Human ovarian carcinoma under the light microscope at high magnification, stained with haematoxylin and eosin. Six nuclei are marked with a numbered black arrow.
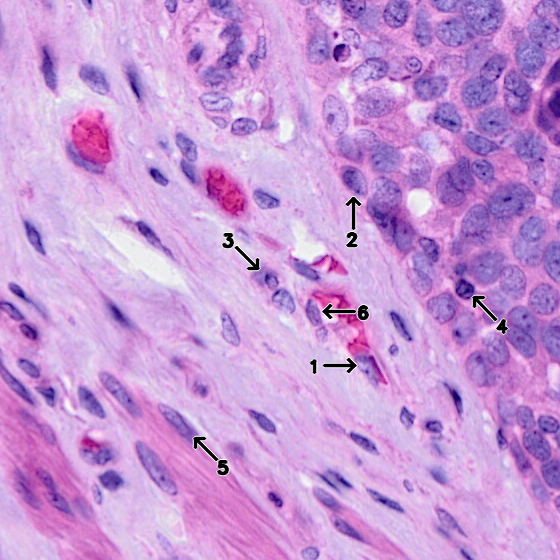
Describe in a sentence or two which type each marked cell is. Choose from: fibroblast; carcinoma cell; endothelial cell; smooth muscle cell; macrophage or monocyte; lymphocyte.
Cell 1 is an endothelial cell, cell 2 is a macrophage or monocyte, cell 3 is an endothelial cell, cell 4 is a lymphocyte, cell 5 is a smooth muscle cell and cell 6 is an endothelial cell.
